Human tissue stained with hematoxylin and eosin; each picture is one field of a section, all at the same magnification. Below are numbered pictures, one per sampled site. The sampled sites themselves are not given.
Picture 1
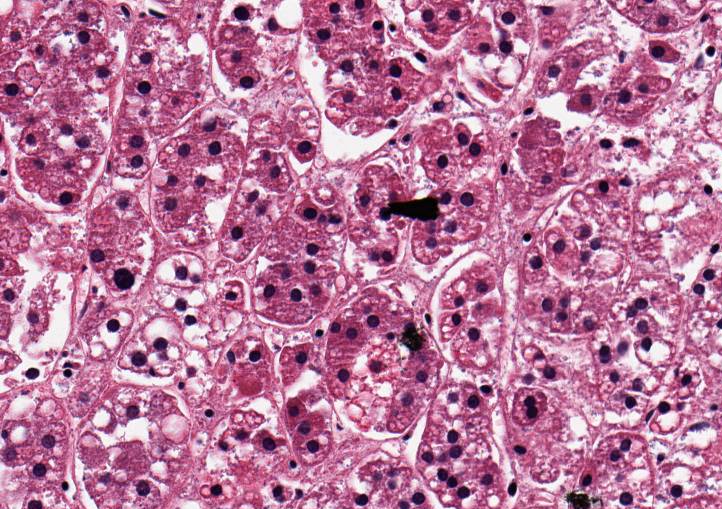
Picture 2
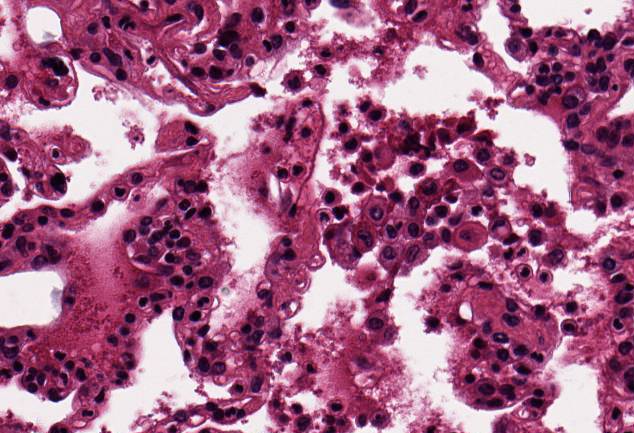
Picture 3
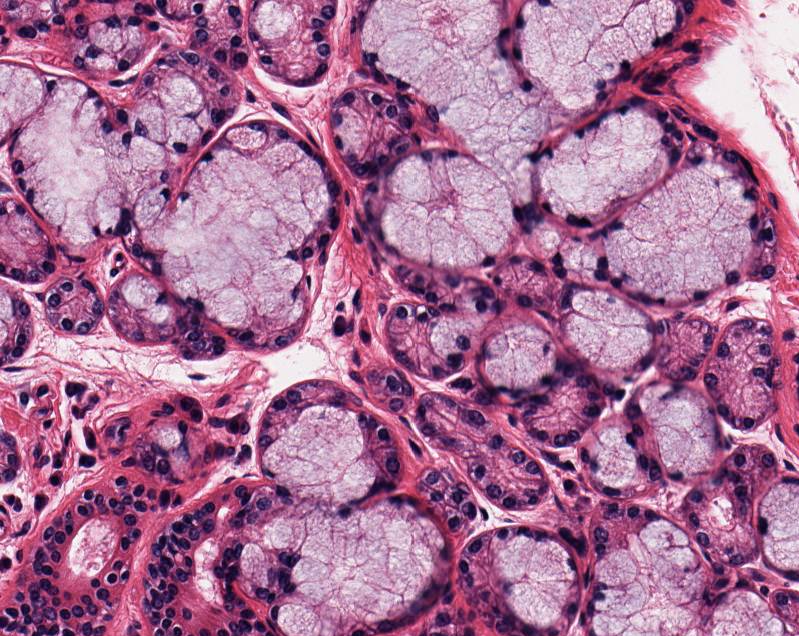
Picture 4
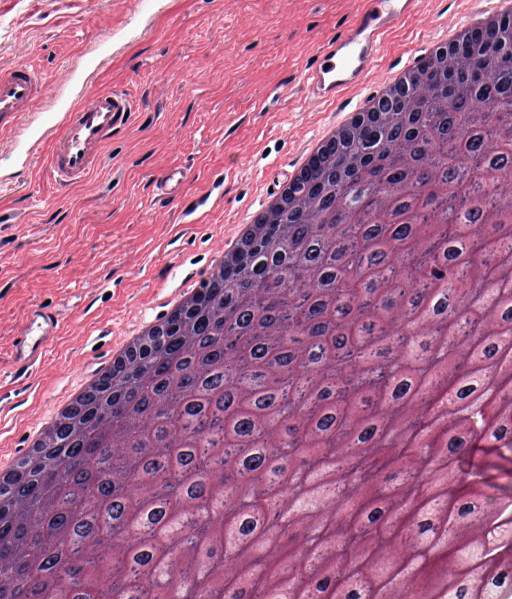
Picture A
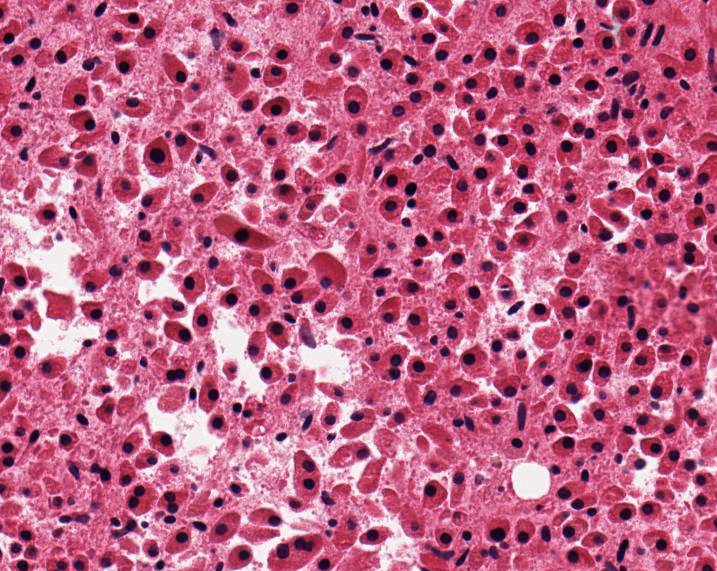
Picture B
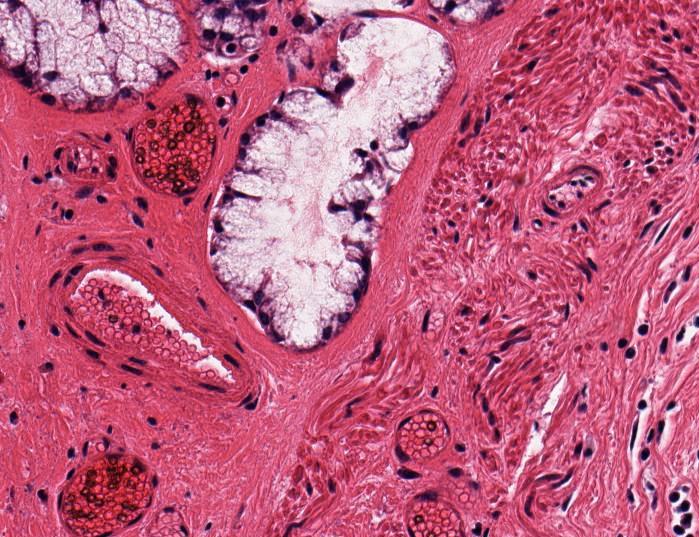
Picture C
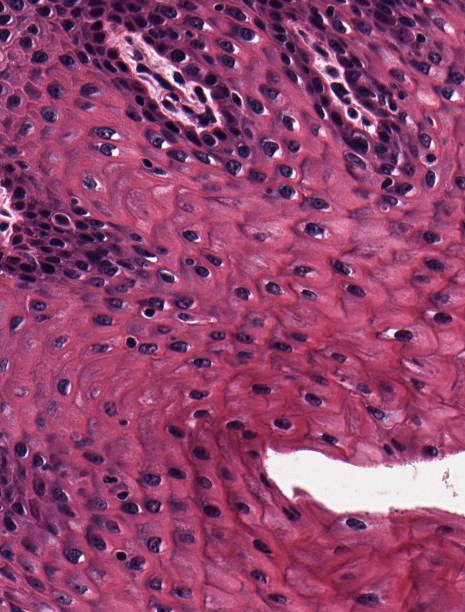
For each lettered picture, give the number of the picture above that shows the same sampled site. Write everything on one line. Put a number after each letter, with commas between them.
A 1, B 4, C 4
